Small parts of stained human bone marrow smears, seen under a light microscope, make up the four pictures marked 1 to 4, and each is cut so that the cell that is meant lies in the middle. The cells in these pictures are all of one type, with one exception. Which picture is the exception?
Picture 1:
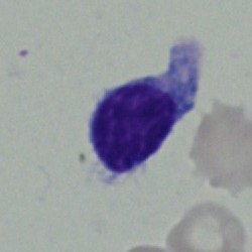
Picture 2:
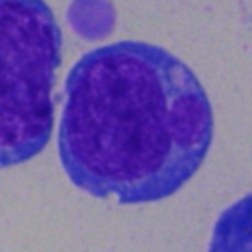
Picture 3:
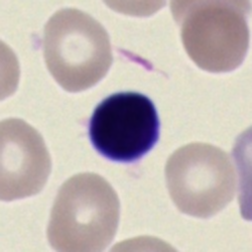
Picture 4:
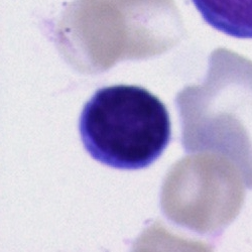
2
